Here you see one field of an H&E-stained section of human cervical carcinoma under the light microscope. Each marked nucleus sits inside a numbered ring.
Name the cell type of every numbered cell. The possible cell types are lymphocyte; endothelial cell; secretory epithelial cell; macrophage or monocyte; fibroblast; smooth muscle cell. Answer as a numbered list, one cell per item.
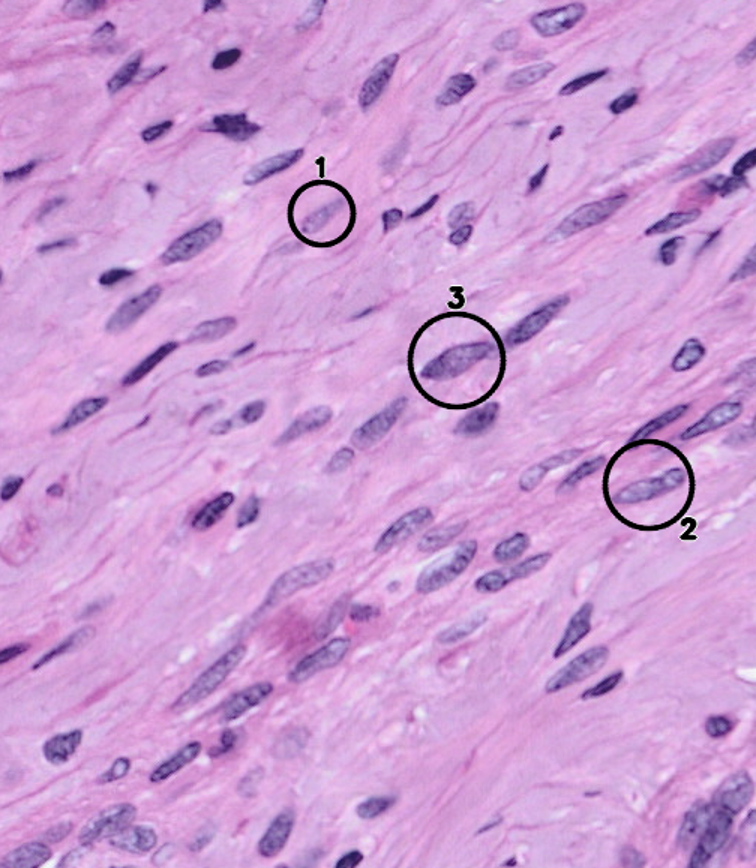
1. fibroblast
2. smooth muscle cell
3. fibroblast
